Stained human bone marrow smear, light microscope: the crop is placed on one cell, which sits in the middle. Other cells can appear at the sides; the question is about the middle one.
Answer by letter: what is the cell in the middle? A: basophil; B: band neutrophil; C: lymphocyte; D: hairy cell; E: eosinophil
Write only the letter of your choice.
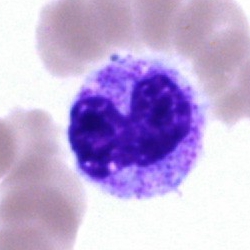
B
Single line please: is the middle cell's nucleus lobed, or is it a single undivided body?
Counting the nuclear lobes gives a total of at least two.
